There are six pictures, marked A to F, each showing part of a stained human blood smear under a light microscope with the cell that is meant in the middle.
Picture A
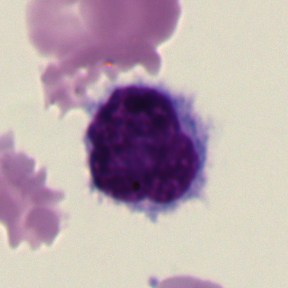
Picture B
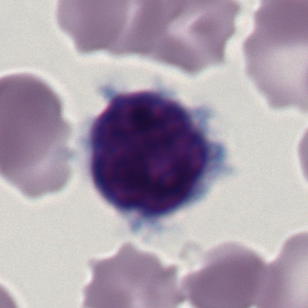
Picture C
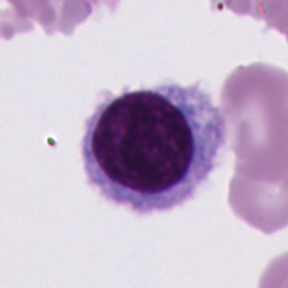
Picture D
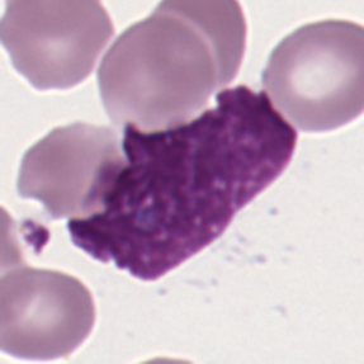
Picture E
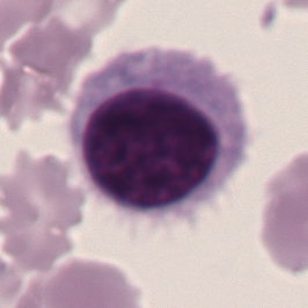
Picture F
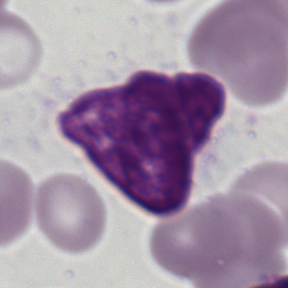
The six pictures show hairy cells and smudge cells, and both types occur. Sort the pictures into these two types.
A: hairy cell
B: hairy cell
C: hairy cell
D: smudge cell
E: hairy cell
F: smudge cell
